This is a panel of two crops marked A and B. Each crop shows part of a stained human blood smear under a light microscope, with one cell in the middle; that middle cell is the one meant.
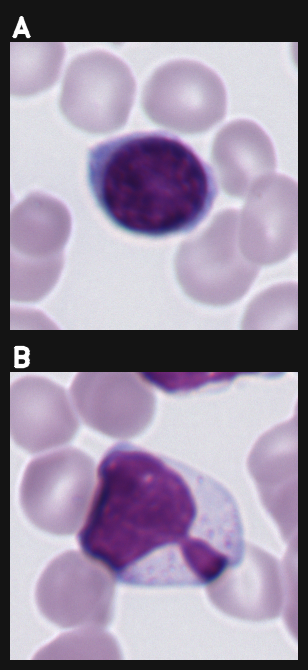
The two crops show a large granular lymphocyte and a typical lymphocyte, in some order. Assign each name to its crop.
A: typical lymphocyte
B: large granular lymphocyte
